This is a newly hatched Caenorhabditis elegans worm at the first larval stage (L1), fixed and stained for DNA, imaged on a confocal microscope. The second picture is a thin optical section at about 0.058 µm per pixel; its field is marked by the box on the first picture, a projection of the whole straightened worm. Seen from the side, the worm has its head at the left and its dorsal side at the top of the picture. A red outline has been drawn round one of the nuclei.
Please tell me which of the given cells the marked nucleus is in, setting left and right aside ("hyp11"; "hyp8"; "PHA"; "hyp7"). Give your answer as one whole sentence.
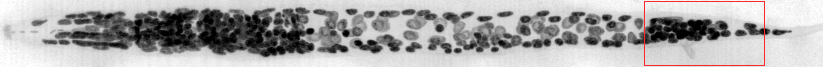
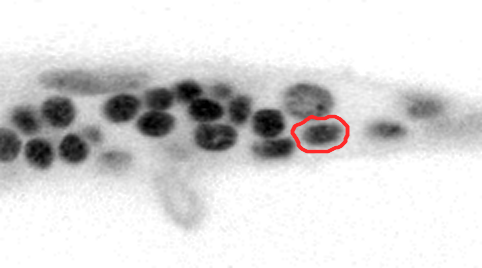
The cell whose nucleus is marked is hyp7, a hypodermal cell (hyp).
